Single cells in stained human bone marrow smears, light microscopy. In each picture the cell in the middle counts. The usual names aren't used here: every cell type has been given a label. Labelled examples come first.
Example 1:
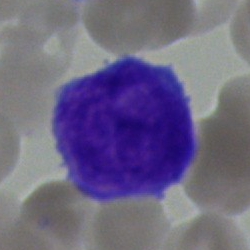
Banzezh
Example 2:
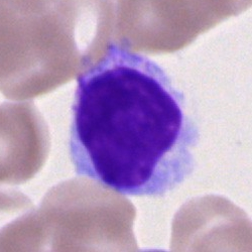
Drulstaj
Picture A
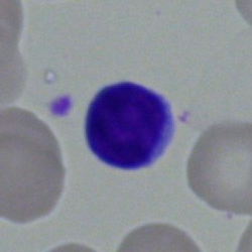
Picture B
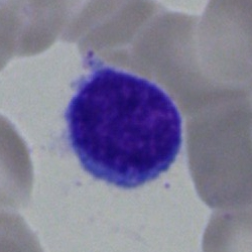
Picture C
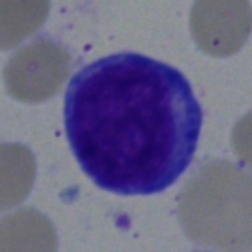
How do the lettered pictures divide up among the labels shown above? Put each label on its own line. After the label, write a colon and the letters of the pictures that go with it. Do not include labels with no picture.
Banzezh: C
Drulstaj: A, B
